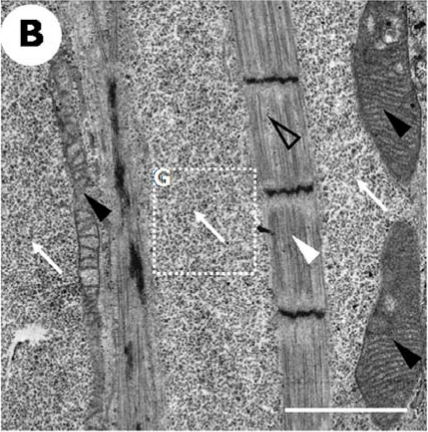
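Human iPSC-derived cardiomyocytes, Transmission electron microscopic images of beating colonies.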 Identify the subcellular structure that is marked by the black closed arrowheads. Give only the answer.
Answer: Mitochondria.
